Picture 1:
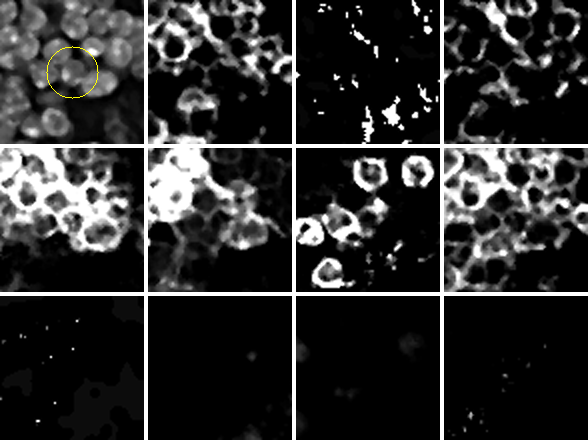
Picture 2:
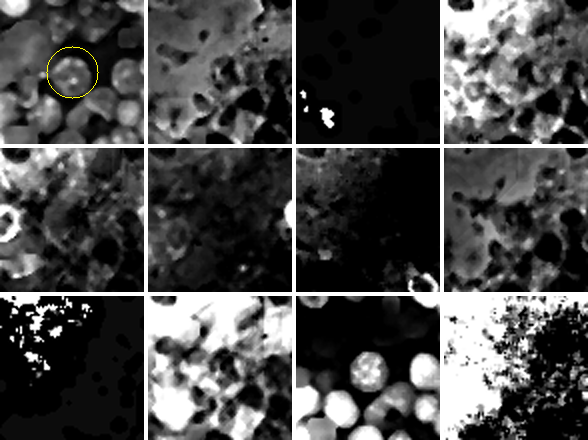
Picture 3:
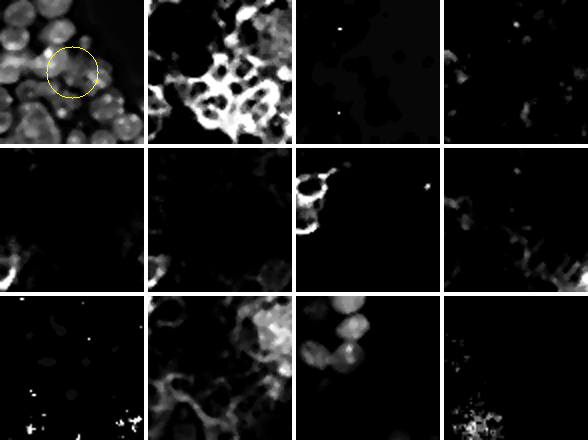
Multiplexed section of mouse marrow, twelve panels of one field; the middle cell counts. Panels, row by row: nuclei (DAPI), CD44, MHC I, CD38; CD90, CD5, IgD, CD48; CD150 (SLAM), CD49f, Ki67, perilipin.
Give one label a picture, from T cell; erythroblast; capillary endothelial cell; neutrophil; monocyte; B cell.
1. B cell
2. capillary endothelial cell
3. neutrophil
